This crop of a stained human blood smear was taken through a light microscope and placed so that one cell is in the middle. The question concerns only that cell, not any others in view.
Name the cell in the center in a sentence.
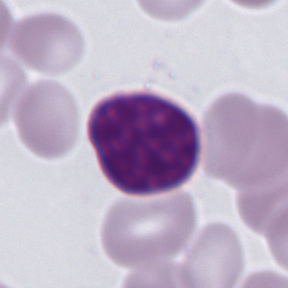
Where the crop is centred, there is a smudge cell.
